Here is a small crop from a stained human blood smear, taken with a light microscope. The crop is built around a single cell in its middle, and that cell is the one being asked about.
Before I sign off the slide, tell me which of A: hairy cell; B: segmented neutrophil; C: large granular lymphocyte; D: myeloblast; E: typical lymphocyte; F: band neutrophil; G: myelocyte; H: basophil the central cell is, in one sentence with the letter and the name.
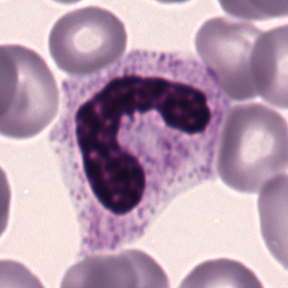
This one is option B, since the cell at the center is a segmented neutrophil.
